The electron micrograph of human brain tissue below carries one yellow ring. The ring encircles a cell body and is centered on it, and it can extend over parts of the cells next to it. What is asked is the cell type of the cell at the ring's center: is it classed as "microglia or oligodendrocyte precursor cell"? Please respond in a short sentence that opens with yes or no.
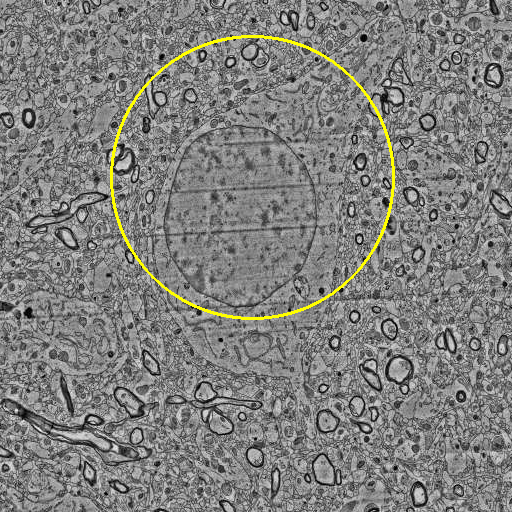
No, it is classed otherwise.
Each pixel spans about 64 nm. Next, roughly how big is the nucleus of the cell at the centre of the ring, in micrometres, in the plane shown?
Roughly 12 micrometres by 10 micrometres, in this plane.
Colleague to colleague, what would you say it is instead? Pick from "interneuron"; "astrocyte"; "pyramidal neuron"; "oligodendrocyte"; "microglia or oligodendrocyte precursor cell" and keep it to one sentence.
In this picture, the ring is centred on a pyramidal neuron.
